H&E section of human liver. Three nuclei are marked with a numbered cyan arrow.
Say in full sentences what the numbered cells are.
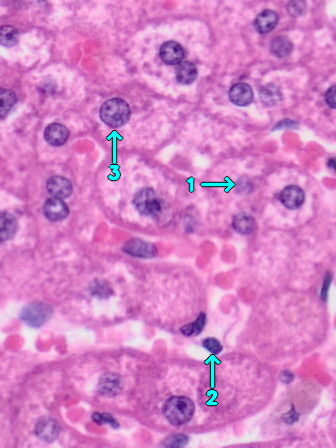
Cells 1 and 3 are hepatocytes. Cell 2 is a lymphocyte.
